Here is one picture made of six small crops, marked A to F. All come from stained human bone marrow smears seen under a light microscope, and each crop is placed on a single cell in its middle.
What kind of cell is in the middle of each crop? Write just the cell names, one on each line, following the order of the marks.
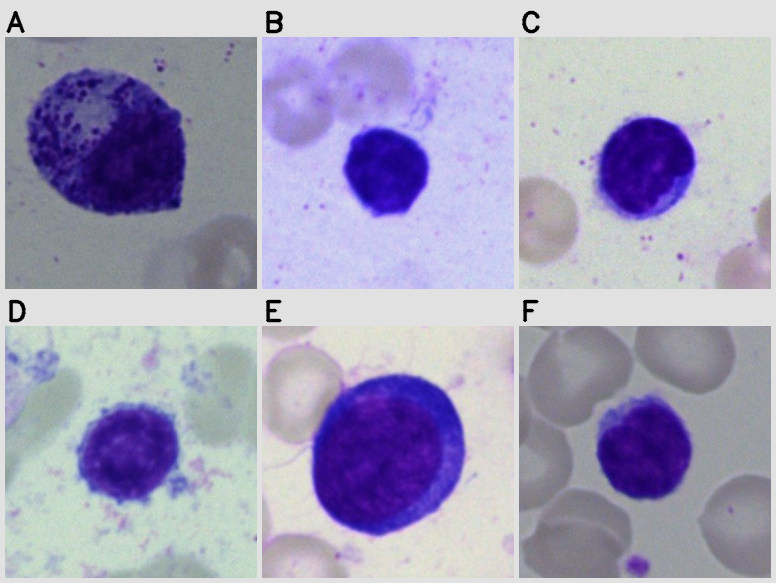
promyelocyte
lymphocyte
lymphocyte
lymphocyte
proerythroblast
lymphocyte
